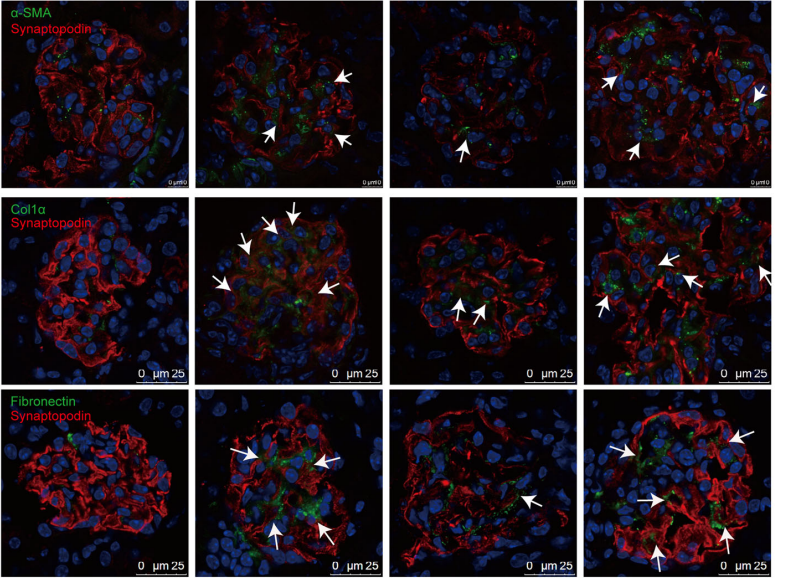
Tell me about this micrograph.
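The images show kidney glomeruli seen in fluorescence. Each is a rounded tuft in which a red, lace-like network traces the outer surfaces of the capillary loops, where the podocytes sit. Many oval blue nuclei are packed within each tuft, and more blue nuclei lie in the tissue around it. Green signal is sparse in some images. In others it forms dots and small patches within the tuft, lying beside or along the red outlines. White arrows point to cells that carry this green signal.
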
